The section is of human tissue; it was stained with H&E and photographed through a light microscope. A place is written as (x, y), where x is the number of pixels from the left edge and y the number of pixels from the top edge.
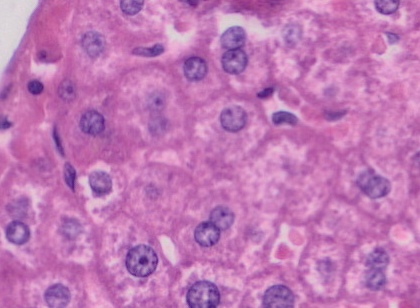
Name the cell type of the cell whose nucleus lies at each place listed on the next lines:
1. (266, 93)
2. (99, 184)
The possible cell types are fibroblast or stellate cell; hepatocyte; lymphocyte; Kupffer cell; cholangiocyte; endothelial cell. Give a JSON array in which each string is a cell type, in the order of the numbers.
["fibroblast or stellate cell", "hepatocyte"]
